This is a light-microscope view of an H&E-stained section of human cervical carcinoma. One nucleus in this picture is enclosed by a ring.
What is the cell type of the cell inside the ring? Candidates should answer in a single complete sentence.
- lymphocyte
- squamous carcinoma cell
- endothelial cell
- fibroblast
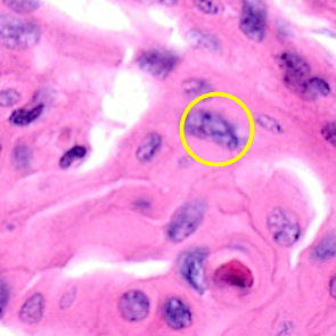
It is as a squamous carcinoma cell that the cell inside the ring is recorded.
